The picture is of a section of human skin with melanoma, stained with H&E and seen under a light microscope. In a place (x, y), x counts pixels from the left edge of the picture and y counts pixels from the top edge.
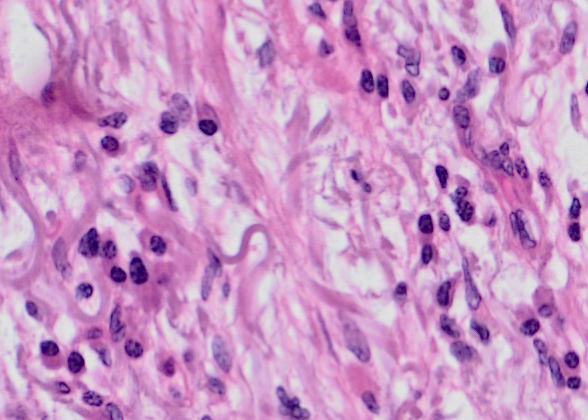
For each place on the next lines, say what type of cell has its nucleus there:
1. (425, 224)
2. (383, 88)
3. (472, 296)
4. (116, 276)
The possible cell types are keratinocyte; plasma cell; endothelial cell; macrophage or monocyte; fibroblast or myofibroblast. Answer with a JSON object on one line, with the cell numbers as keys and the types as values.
{"1": "plasma cell", "2": "plasma cell", "3": "fibroblast or myofibroblast", "4": "plasma cell"}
